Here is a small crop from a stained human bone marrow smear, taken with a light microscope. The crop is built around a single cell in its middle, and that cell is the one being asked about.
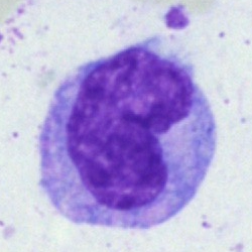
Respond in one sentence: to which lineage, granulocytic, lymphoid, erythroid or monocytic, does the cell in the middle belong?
Originating in the monocytic lineage is the cell at the center of the crop.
